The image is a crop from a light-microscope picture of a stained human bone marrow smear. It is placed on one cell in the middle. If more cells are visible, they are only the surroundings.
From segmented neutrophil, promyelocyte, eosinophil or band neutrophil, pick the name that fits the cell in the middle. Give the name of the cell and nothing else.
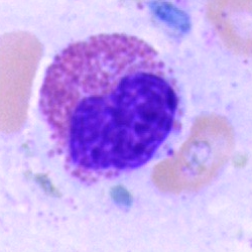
eosinophil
